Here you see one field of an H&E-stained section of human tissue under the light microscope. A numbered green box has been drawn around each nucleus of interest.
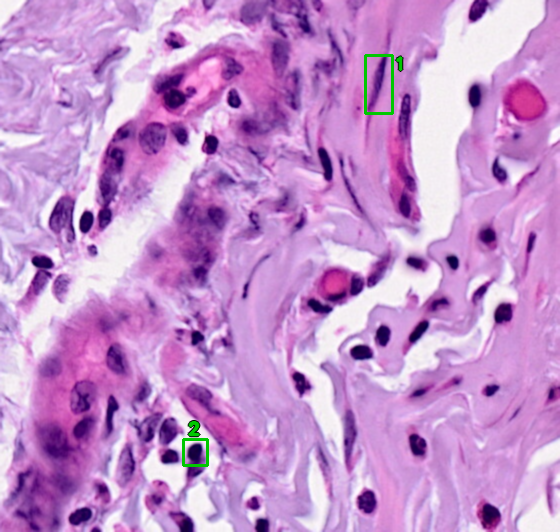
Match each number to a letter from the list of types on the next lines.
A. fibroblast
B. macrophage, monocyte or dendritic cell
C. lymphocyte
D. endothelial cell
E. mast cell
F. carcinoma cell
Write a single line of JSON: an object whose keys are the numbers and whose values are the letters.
{"1": "A", "2": "C"}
